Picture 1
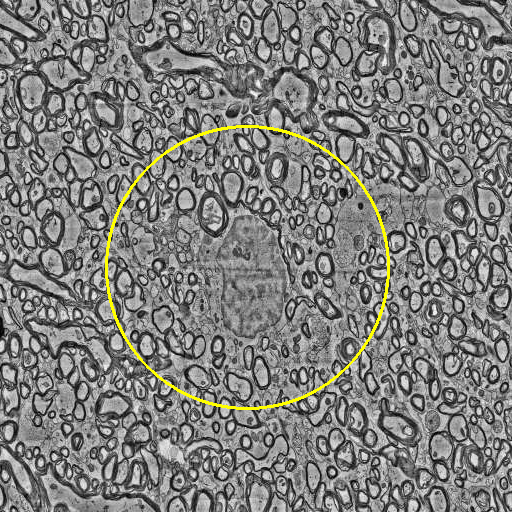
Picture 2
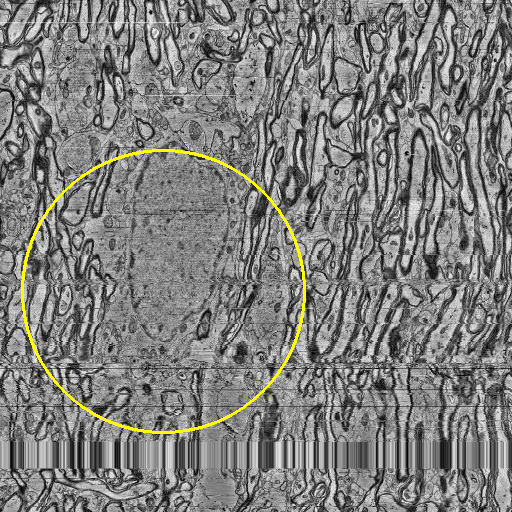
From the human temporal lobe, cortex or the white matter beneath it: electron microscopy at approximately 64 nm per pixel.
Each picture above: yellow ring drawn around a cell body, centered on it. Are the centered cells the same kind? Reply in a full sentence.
No, the two cells are two kinds of cell.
